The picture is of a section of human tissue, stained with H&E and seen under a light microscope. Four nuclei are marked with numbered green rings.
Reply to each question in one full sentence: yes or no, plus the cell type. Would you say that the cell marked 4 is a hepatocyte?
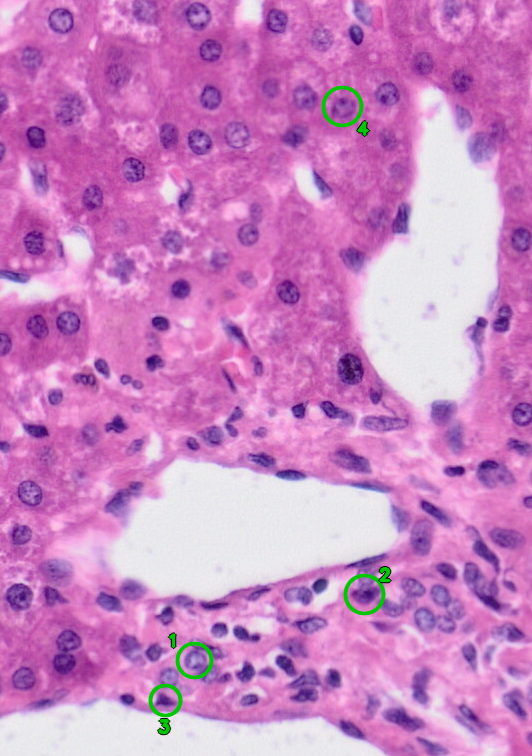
Yes, the cell that bears number 4 is a hepatocyte.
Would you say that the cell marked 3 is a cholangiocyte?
No, the nucleus numbered 3 belongs to a fibroblast or stellate cell, not a cholangiocyte.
